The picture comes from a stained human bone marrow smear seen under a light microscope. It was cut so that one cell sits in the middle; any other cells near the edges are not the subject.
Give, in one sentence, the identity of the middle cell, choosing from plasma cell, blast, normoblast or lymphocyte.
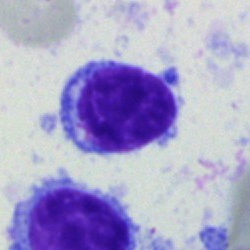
The cell centred in this crop is categorized as a lymphocyte.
